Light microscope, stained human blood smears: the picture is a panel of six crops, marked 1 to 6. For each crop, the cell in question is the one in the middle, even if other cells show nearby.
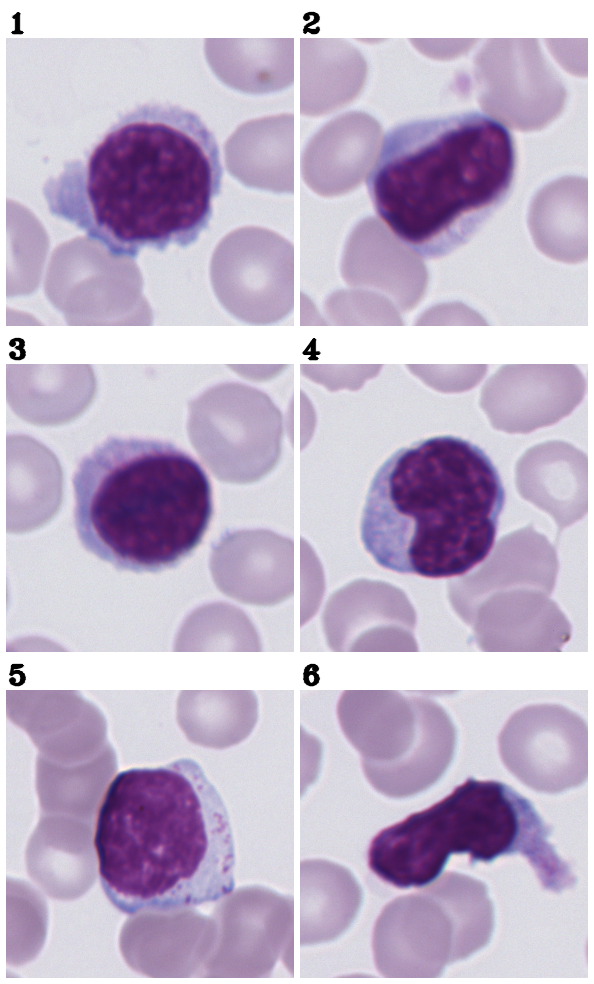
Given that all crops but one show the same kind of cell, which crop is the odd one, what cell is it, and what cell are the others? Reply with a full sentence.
Unlike the rest, which all show typical lymphocytes, crop 5 contains a large granular lymphocyte.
